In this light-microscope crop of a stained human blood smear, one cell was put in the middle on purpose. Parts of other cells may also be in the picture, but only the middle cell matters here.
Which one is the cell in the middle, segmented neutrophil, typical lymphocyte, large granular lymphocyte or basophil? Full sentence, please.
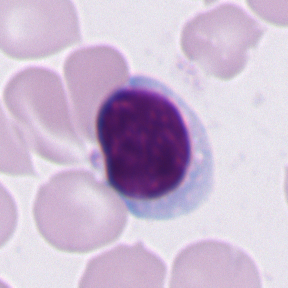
The cell centered in this field of view is a typical lymphocyte.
